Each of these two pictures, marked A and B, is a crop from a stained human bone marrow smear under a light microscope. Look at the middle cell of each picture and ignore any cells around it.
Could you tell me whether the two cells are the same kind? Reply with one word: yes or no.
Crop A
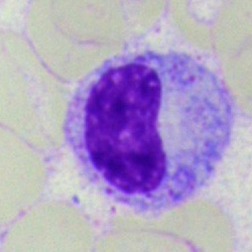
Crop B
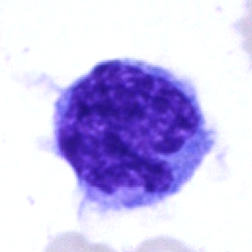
no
